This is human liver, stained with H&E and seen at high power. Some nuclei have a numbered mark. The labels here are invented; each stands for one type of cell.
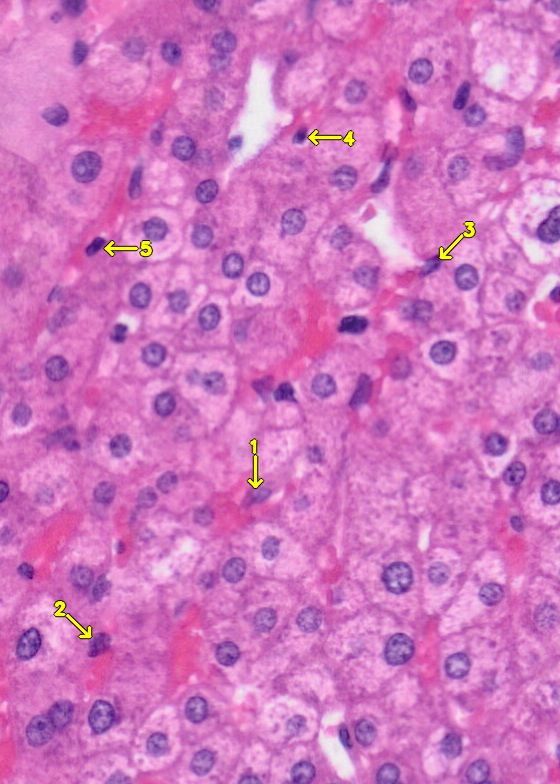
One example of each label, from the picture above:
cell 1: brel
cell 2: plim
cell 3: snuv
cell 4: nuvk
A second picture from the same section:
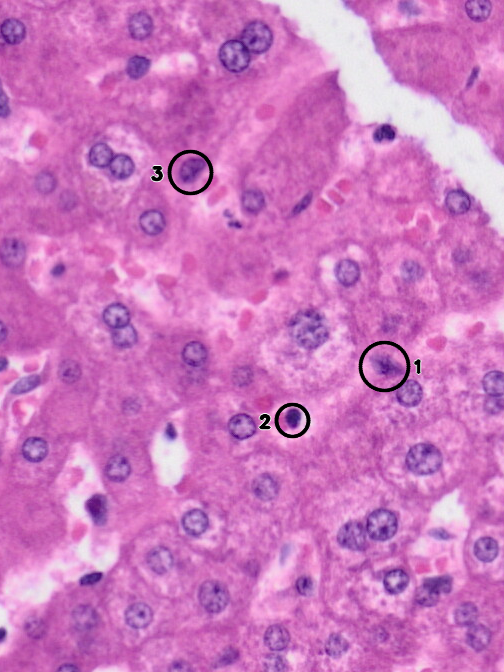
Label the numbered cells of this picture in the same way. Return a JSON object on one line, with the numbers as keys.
{"1": "plim", "2": "nuvk", "3": "brel"}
